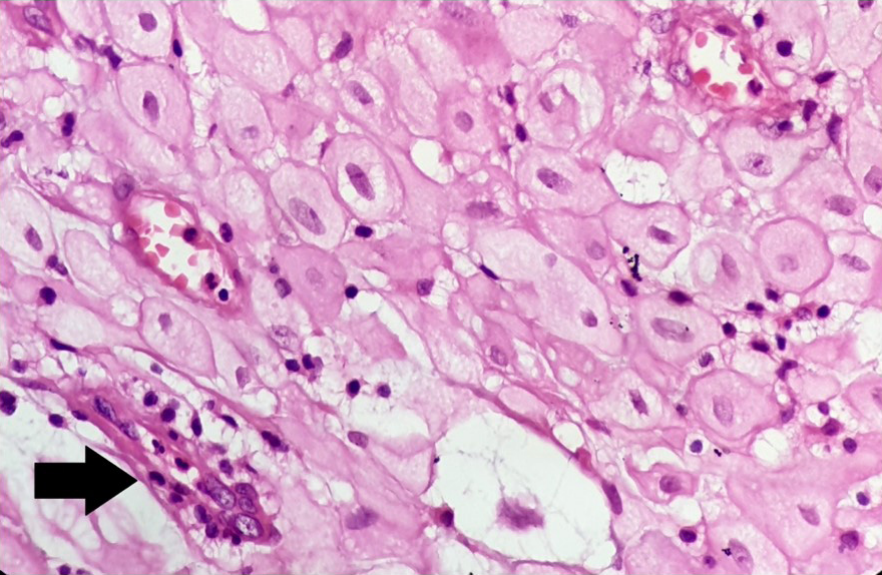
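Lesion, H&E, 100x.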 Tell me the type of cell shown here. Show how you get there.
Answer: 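Large round to polygonal cells with abundant pale pink cytoplasm fill most of the field. Each large cell has a single central oval nucleus with fine chromatin. The cells have distinct cell borders and lie closely packed.
Conclusion: decidual cells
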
